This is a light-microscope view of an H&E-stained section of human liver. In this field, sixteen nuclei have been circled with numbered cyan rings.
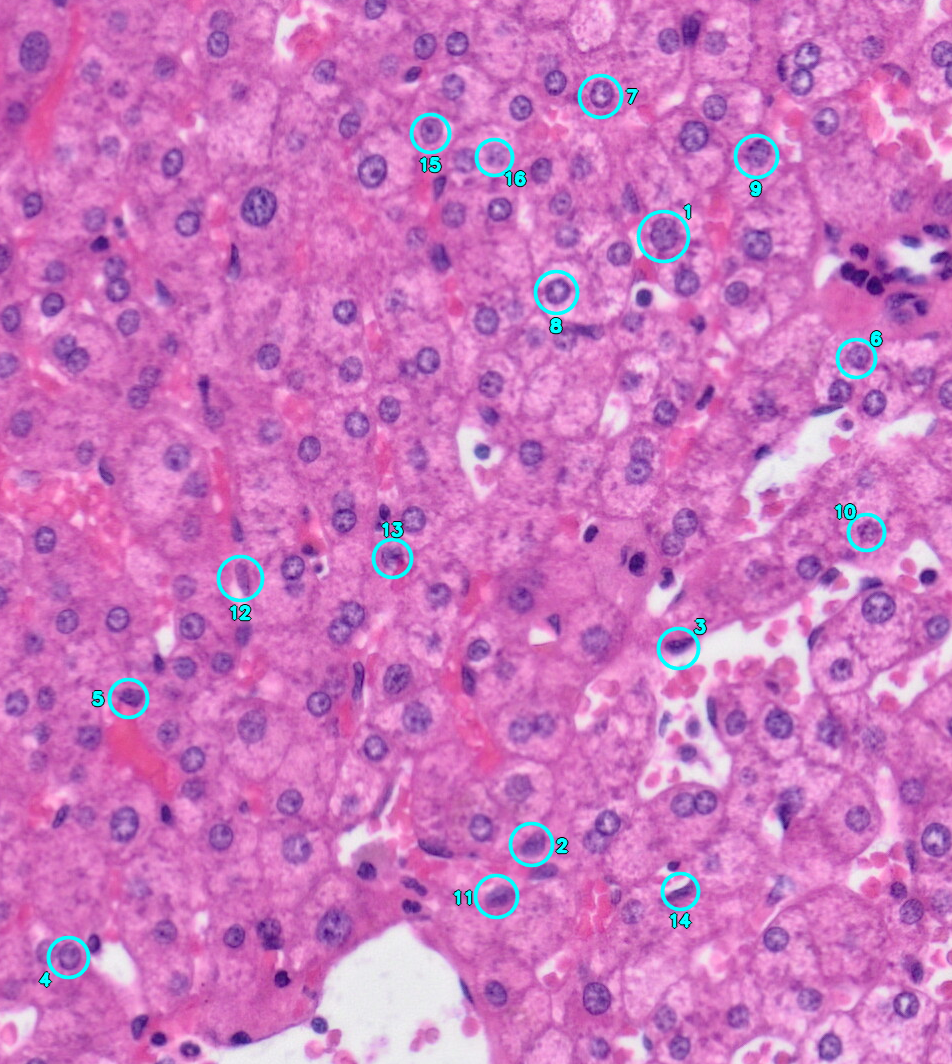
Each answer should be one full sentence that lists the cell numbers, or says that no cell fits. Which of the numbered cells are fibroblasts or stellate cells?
The cells marked 3 and 5 in the section are fibroblasts or stellate cells.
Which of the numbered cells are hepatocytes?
By cell type, the cells numbered 1, 4, 6, 7, 8, 9, 10, 15 and 16 are hepatocytes.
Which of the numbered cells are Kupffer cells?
There is only one numbered cell that is a Kupffer cell, and it is cell 12.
